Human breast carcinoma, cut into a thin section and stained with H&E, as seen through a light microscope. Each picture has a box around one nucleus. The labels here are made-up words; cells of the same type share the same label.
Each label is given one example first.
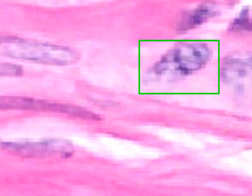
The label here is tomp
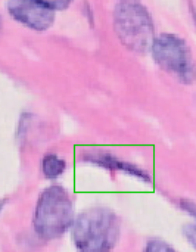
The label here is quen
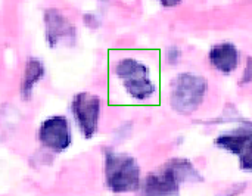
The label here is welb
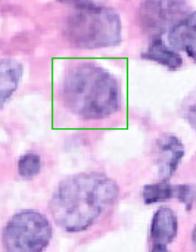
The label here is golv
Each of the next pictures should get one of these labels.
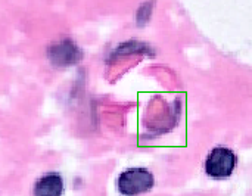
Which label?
tomp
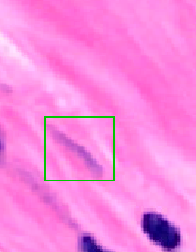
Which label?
quen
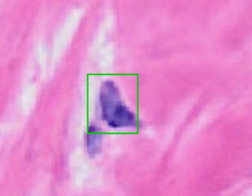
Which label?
welb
